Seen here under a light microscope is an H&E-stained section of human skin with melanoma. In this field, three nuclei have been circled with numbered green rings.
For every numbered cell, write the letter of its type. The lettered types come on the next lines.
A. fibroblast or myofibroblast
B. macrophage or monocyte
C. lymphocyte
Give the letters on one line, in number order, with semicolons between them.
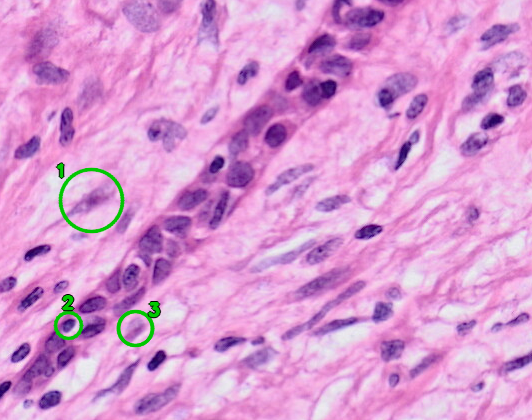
A; C; A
